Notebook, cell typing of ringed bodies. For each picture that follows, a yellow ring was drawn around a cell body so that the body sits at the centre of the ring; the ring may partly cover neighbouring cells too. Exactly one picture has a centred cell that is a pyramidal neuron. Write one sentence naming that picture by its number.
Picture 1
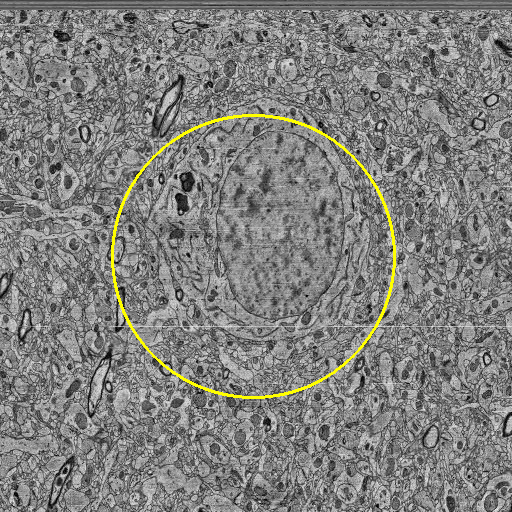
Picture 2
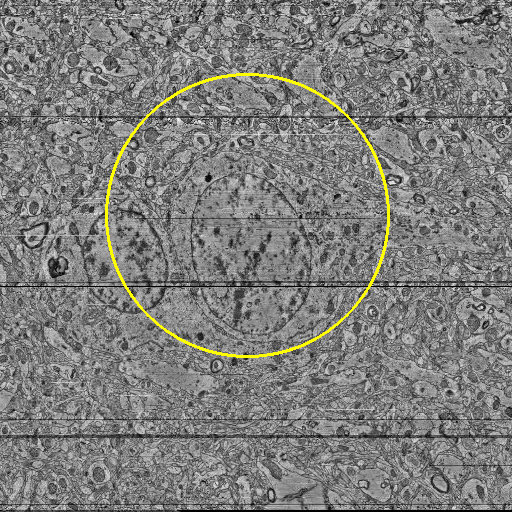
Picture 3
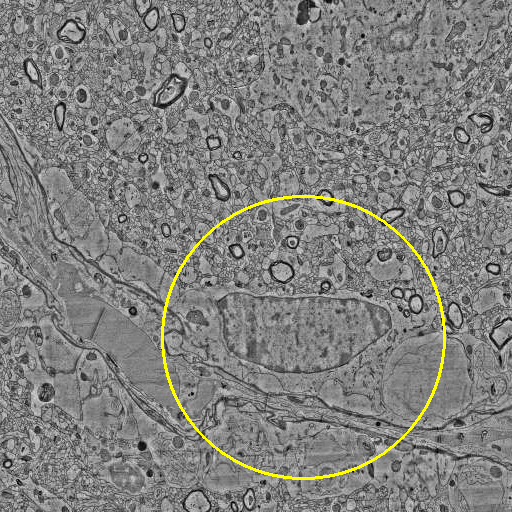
Picture 2 is the one with it at the centre of its ring.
